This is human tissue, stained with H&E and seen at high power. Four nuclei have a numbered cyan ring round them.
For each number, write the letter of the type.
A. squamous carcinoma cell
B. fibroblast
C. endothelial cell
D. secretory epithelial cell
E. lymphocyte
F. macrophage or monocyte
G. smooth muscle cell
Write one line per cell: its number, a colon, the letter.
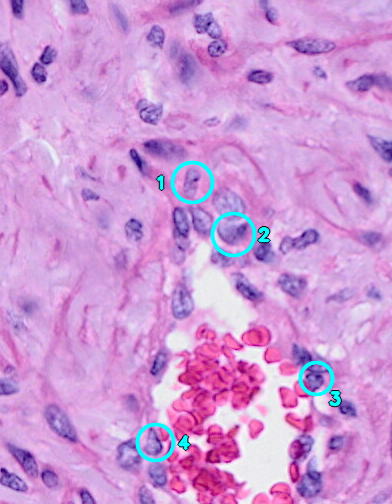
1: G
2: C
3: C
4: C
